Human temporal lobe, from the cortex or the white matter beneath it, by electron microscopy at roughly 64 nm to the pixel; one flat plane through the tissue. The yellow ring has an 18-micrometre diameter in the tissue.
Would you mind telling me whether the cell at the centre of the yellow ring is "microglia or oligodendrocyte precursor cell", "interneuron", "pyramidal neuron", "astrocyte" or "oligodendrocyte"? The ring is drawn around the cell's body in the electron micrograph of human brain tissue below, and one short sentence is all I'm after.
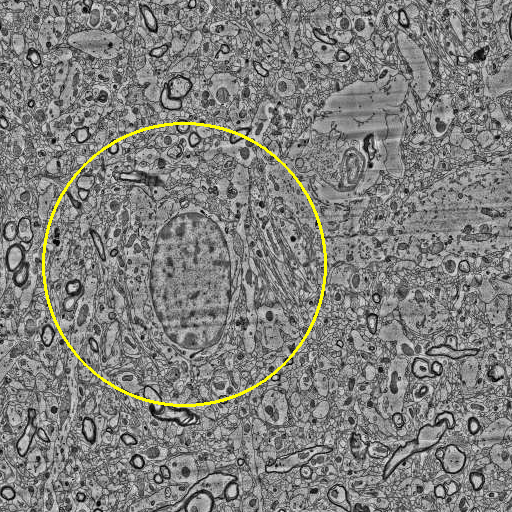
In the centre of the ring lies a microglial cell or oligodendrocyte precursor cell.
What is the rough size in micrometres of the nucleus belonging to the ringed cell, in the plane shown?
Approximately 8 by 6 micrometers in this plane.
